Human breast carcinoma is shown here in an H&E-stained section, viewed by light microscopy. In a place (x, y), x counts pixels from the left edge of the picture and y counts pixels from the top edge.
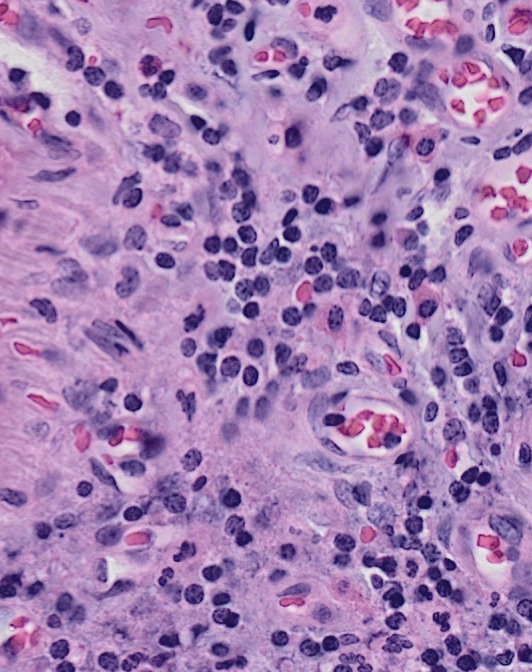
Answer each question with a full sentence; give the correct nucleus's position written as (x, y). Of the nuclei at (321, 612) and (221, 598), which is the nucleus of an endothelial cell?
Of the pair, the nucleus located at (321, 612) belongs to an endothelial cell.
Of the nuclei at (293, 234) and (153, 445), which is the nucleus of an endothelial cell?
Of the two nuclei present, the one at (153, 445) is within an endothelial cell.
